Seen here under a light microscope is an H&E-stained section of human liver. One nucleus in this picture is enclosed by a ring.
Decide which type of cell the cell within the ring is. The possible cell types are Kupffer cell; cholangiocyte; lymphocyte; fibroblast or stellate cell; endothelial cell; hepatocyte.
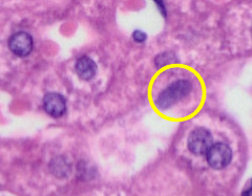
Kupffer cell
